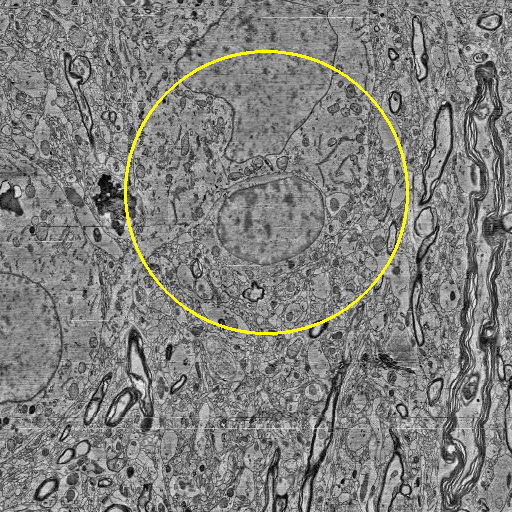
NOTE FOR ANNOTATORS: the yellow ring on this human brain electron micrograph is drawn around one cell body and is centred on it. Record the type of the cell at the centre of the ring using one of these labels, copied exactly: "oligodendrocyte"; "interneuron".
oligodendrocyte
